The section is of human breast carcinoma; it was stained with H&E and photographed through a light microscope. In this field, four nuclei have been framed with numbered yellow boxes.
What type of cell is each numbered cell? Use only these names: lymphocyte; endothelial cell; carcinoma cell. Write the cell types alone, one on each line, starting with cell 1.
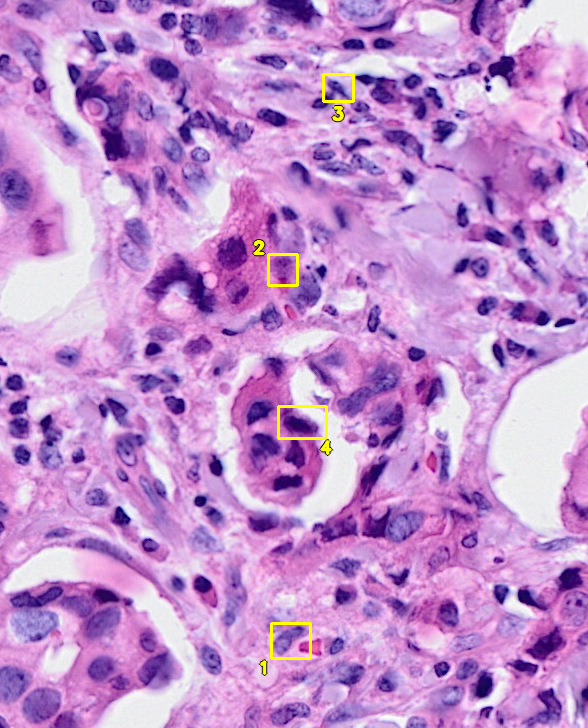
endothelial cell
endothelial cell
lymphocyte
carcinoma cell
